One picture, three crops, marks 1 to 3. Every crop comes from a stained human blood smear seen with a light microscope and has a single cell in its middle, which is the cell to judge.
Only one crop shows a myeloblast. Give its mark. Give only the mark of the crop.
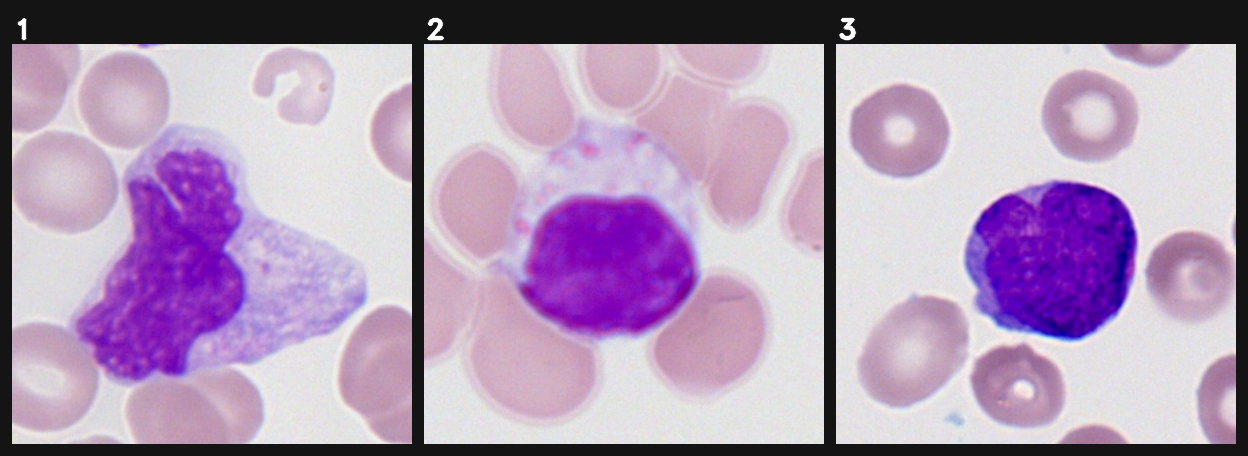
3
